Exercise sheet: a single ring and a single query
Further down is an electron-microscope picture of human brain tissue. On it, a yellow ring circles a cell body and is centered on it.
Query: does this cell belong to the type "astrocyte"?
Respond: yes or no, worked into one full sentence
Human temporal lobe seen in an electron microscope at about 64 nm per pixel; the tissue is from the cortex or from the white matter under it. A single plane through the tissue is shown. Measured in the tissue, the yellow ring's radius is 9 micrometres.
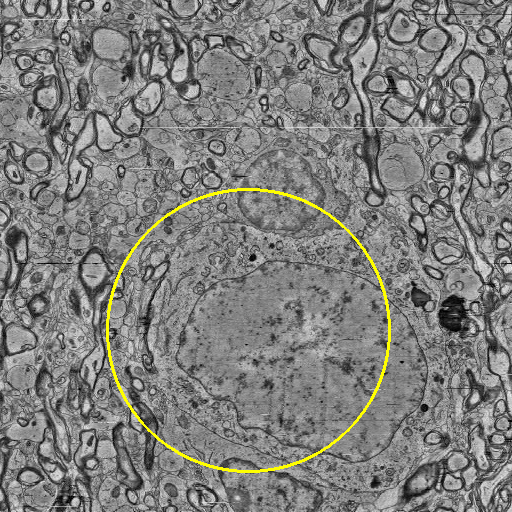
No, this ringed cell, found at the center of the ring in the picture, is of a different type.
